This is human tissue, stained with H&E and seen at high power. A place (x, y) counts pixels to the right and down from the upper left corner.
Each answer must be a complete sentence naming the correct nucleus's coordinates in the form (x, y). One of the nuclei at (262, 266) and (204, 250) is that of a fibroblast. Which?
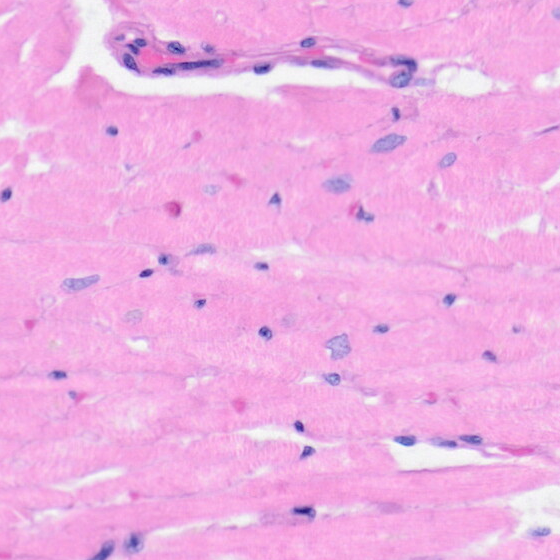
The nucleus at (204, 250), rather than the other one, belongs to a fibroblast.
